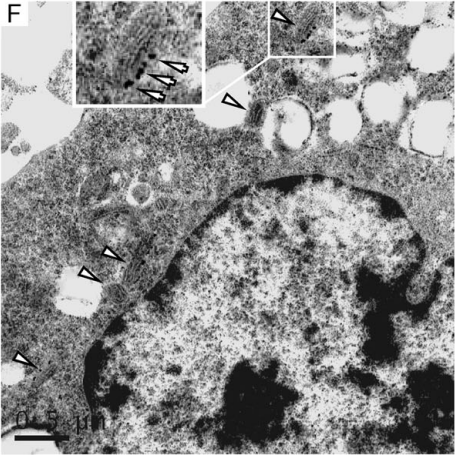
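The nucleus is large with an irregular, indented outline; dark clumped heterochromatin lines the nuclear envelope and forms scattered patches within a paler nucleoplasm. The cytoplasm is densely granular with many ribosomes, some membrane-bound organelles and several clear, empty-looking vacuoles near the cell edge. Scattered through the cytoplasm lie elongated rod-shaped organelles with fine parallel internal striations, resembling Weibel–Palade bodies. An enlarged inset shows one such rod with small dark dense dots lying along it.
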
